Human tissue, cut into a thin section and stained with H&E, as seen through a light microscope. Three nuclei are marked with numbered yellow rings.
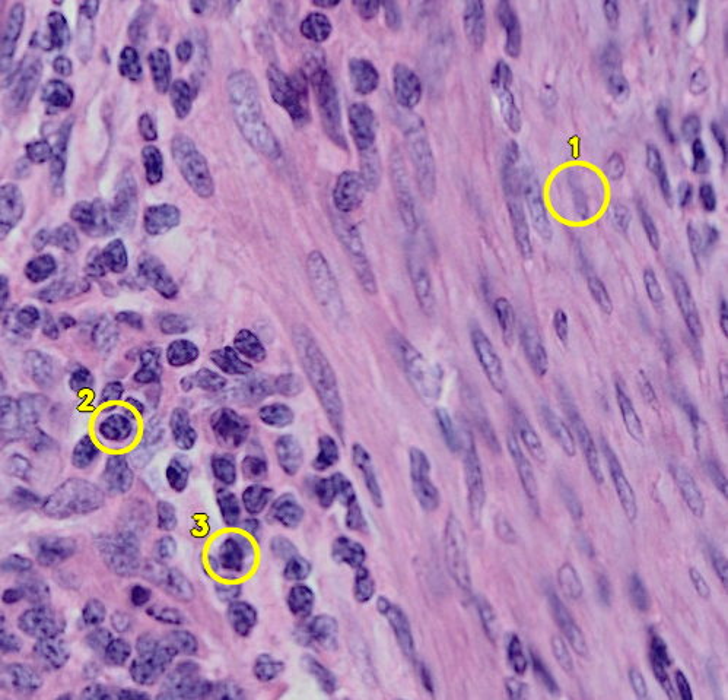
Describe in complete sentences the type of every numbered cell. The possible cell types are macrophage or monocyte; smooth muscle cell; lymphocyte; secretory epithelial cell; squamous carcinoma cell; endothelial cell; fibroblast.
Cell 1 is a smooth muscle cell. Cells 2 and 3 are lymphocytes.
